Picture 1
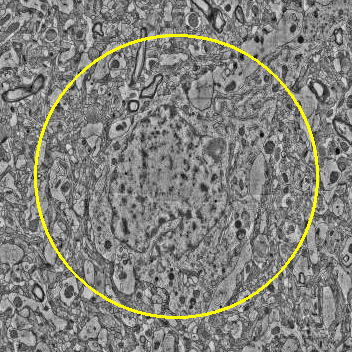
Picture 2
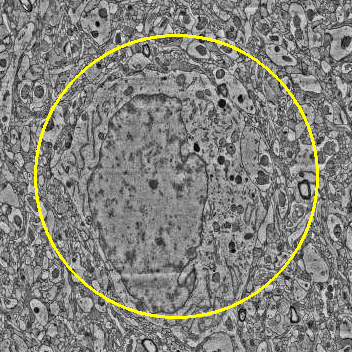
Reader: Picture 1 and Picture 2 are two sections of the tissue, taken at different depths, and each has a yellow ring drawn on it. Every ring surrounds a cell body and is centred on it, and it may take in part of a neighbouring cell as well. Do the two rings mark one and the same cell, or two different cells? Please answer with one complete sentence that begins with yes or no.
No, the two marked cells are different cells.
